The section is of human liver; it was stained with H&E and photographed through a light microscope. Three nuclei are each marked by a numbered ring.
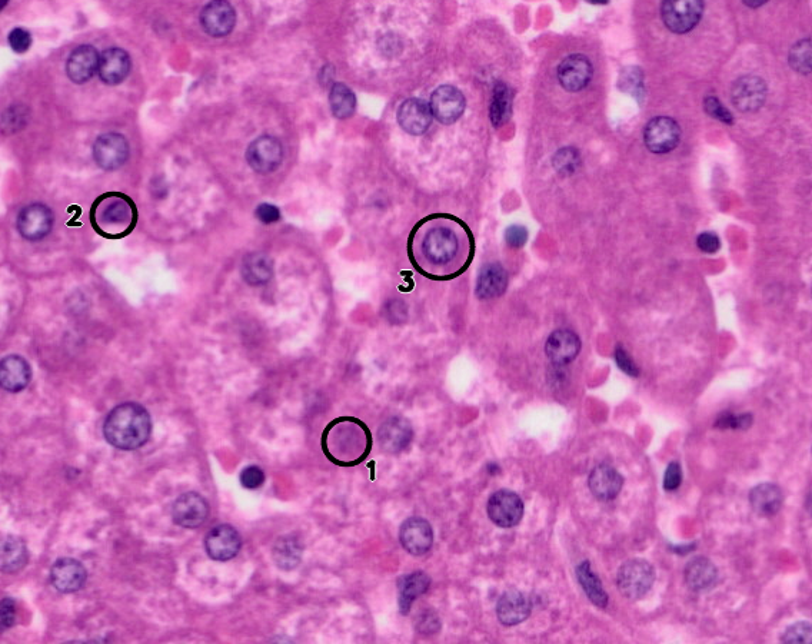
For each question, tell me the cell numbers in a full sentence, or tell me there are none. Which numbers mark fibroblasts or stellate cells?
The cell marked by number 2 is a fibroblast or stellate cell; the other marked cells are not.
